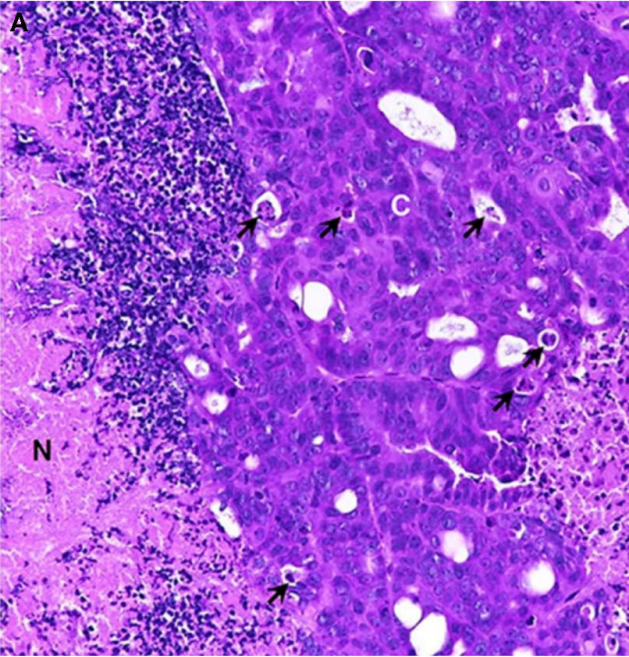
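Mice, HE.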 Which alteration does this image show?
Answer: adenocarcinoma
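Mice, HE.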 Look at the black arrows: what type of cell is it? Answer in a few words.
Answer: Apoptotic cells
